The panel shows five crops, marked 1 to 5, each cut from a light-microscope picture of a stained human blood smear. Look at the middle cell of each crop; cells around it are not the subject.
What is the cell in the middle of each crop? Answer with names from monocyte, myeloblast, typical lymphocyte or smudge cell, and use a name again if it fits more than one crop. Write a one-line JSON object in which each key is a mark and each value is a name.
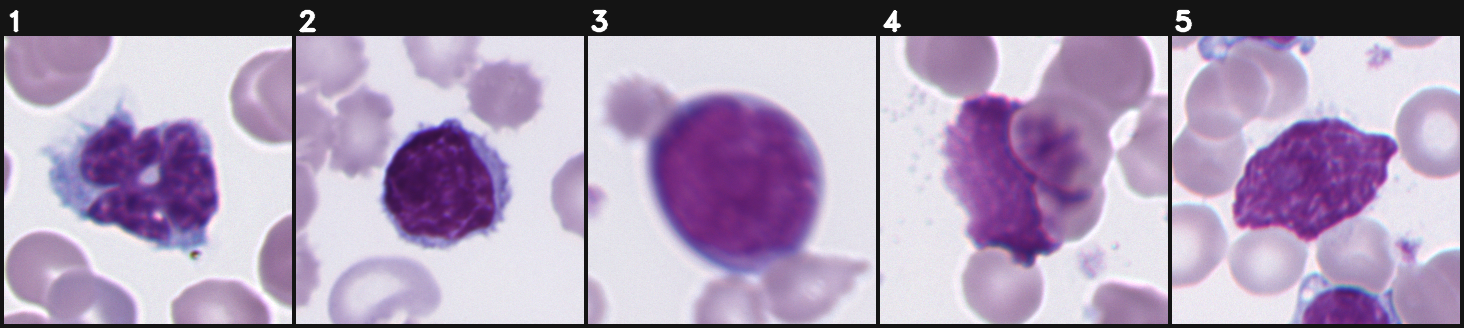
{"1": "monocyte", "2": "typical lymphocyte", "3": "myeloblast", "4": "smudge cell", "5": "smudge cell"}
